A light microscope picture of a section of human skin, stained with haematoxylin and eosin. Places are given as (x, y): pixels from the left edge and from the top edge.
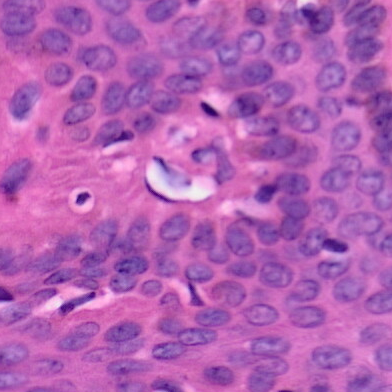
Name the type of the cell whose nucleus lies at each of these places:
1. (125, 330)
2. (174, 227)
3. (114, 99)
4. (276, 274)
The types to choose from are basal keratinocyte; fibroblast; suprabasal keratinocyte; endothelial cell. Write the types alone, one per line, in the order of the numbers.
basal keratinocyte
basal keratinocyte
basal keratinocyte
suprabasal keratinocyte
